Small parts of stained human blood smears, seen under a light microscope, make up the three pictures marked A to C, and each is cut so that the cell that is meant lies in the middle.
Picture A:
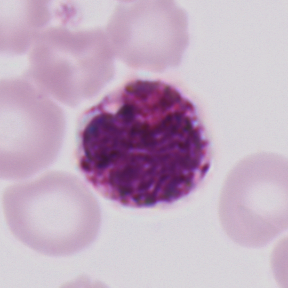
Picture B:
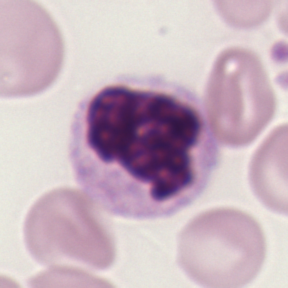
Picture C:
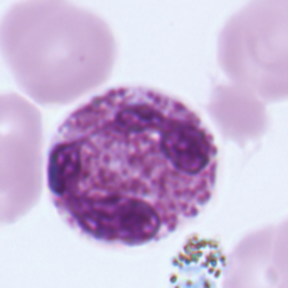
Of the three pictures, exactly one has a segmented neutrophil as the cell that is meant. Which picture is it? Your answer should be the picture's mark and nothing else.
B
